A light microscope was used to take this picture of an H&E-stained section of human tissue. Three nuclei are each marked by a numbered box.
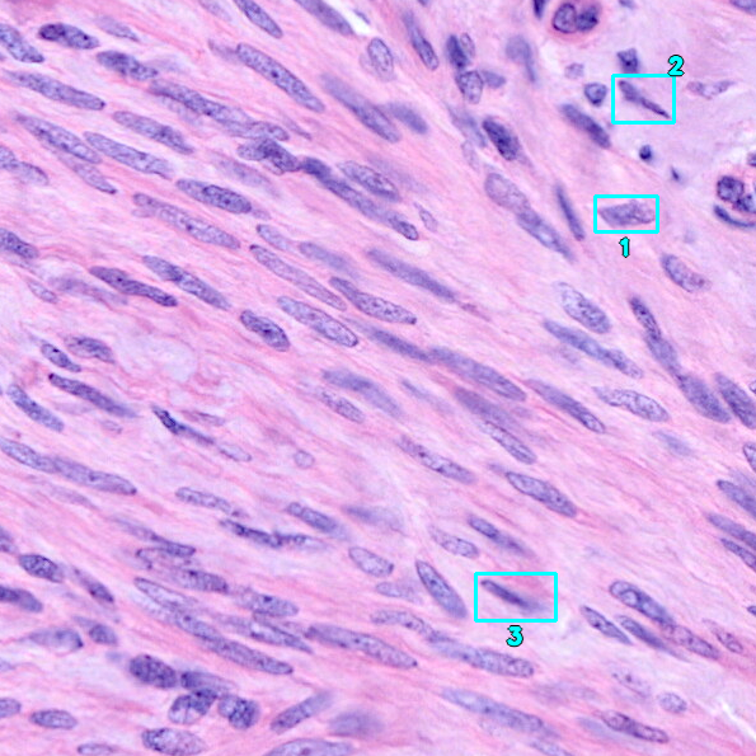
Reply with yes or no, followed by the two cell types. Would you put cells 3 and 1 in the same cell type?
No, cell 1 is a fibroblast, whereas cell 3 is a smooth muscle cell.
